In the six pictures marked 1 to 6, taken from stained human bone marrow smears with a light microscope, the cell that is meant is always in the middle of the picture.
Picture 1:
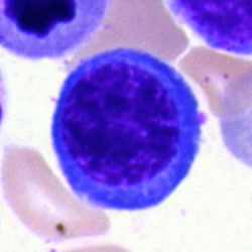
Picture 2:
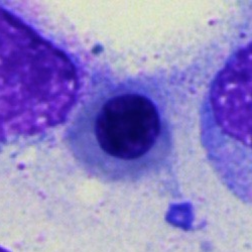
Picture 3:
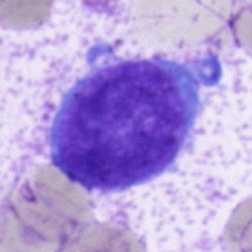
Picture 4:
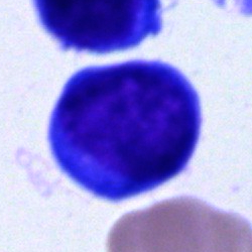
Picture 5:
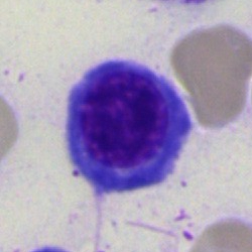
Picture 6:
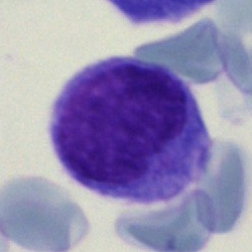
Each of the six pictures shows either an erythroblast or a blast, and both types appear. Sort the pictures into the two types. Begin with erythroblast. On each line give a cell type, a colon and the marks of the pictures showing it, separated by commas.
erythroblast: 1, 2, 5
blast: 3, 4, 6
